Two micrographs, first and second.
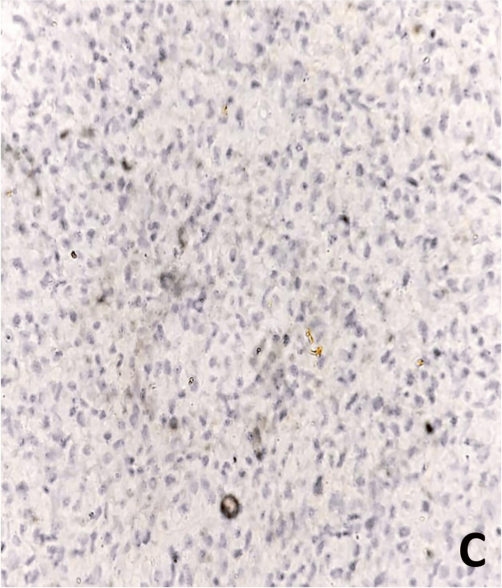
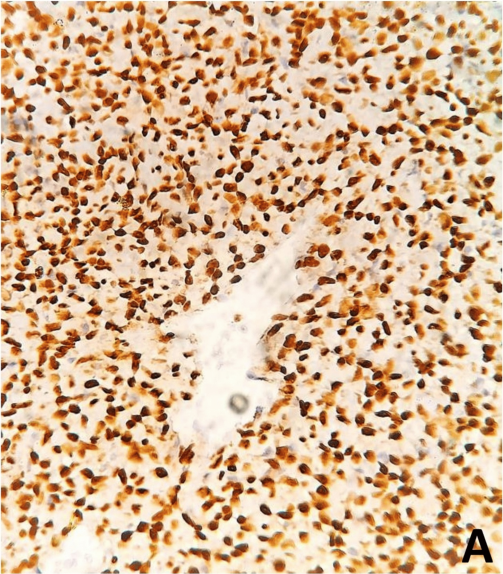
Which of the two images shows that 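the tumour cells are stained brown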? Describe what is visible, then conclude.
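First image: the tumour cell nuclei are pale blue with no brown stain. Second image: nearly every tumour cell nucleus is dark brown. On this evidence: the second image.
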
